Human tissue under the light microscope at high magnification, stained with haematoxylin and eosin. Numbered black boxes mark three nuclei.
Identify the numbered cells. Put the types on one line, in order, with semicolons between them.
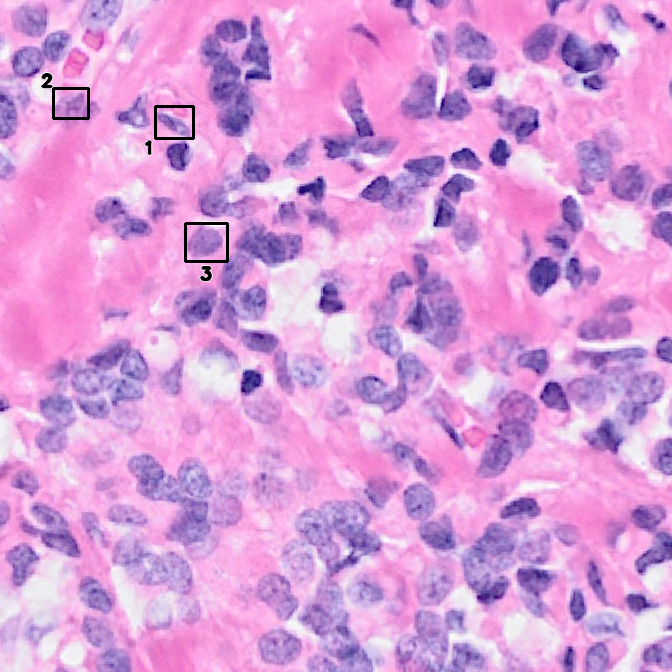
endothelial cell; endothelial cell; carcinoma cell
